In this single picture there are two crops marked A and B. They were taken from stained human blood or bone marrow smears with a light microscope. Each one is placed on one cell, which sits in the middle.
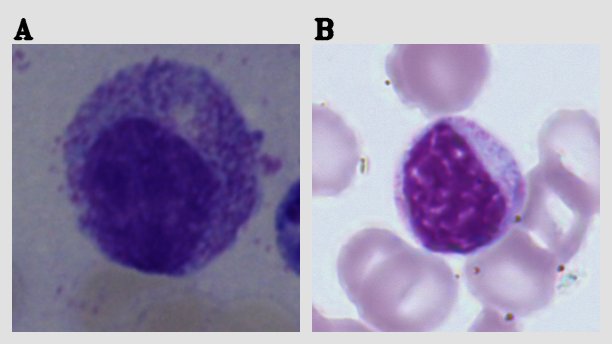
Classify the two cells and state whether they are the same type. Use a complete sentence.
No, crop A corresponds to a myelocyte, while crop B corresponds to a metamyelocyte.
